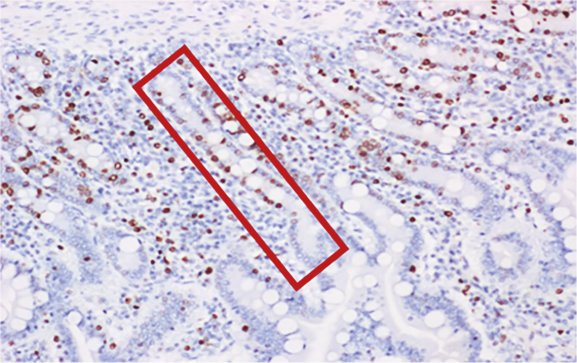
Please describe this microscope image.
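This is intestinal mucosa with crypts cut in various planes, each a tube lined by a single layer of columnar epithelial cells. The nuclei of most cells are stained pale blue, while scattered nuclei are stained dark brown as small round dots. Within the crypt epithelium, clear round vacuoles are interspersed among the columnar cells. Between the crypts lies cellular connective tissue with many small nuclei, some of which are also brown. A red box outlines one obliquely running crypt whose lining carries a row of brown nuclei.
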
